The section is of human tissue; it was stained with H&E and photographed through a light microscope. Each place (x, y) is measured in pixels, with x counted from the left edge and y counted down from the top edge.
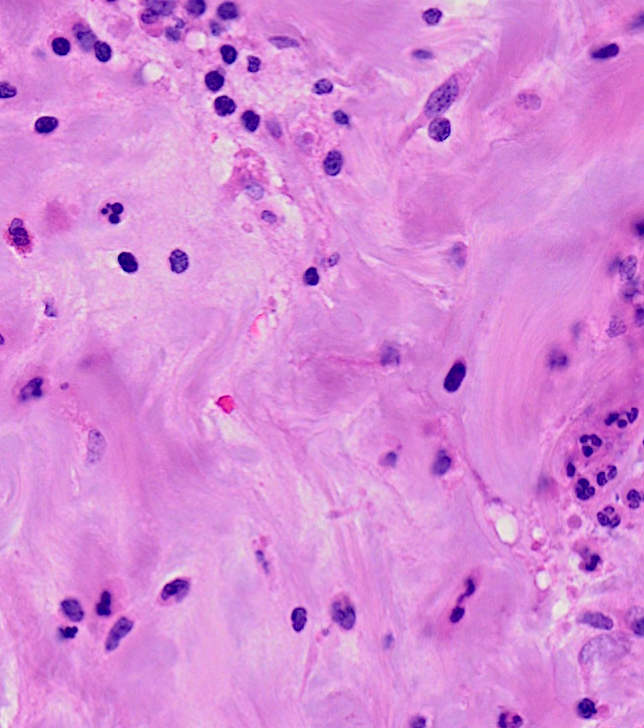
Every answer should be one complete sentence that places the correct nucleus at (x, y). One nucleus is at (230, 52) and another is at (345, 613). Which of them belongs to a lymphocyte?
Among the two nuclei, the one lying at (230, 52) is part of a lymphocyte.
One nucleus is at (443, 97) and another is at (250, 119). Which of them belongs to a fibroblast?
The nucleus at (443, 97), rather than the other, belongs to a fibroblast.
